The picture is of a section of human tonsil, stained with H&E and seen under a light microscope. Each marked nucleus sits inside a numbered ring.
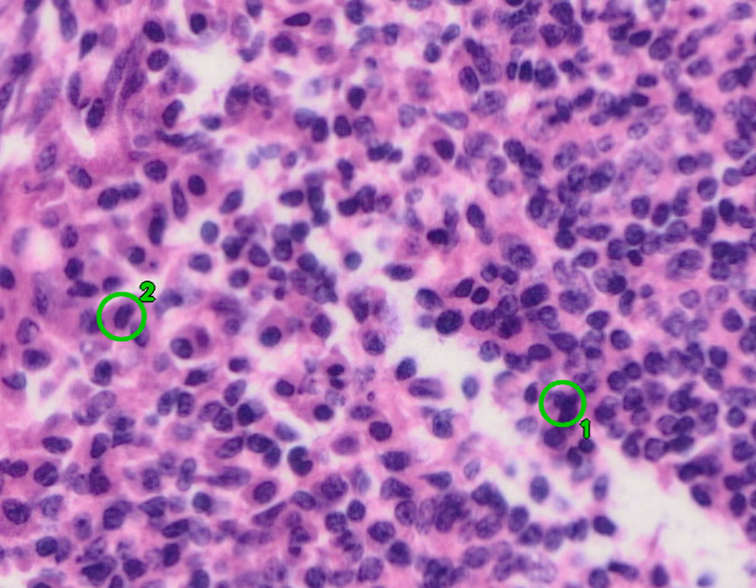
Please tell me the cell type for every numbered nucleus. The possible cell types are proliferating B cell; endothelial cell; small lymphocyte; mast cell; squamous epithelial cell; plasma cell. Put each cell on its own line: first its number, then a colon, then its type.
1: small lymphocyte
2: plasma cell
